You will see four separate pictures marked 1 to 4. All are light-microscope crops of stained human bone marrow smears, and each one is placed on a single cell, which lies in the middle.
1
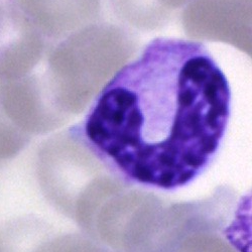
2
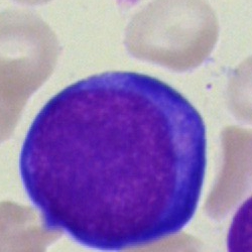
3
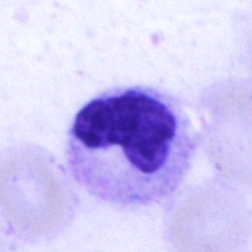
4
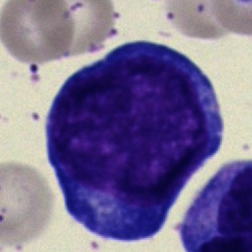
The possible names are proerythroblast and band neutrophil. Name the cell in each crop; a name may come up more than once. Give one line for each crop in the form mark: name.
1: band neutrophil
2: proerythroblast
3: band neutrophil
4: proerythroblast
